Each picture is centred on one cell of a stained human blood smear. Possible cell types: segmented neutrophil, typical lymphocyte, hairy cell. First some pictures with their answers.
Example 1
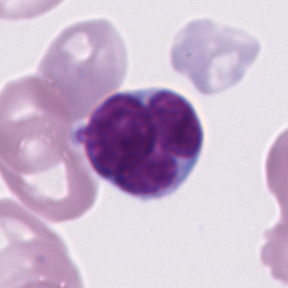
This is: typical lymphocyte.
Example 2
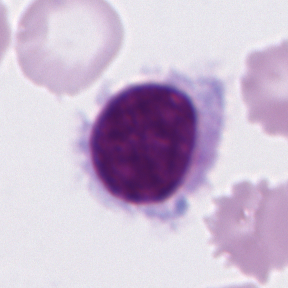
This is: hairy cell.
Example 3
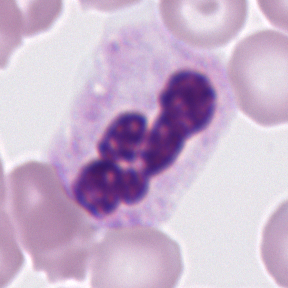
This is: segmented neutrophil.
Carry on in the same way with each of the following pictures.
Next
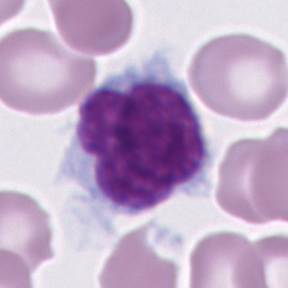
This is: hairy cell.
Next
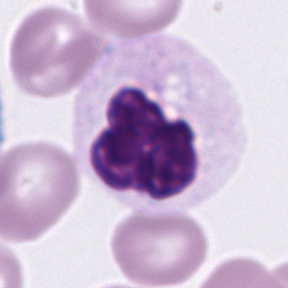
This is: segmented neutrophil.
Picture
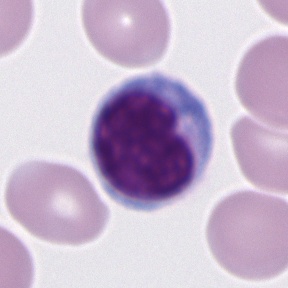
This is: typical lymphocyte.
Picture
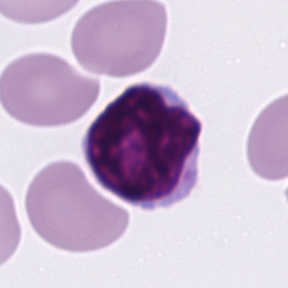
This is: typical lymphocyte.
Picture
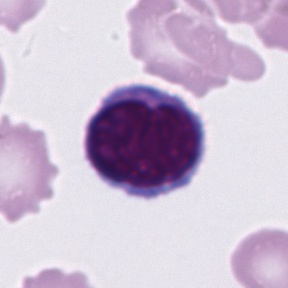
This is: typical lymphocyte.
